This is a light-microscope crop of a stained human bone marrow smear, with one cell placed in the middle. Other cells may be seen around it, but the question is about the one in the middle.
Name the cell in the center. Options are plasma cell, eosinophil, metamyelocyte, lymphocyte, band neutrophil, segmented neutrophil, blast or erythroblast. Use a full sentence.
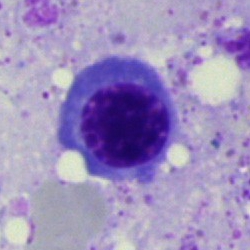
The cell at the middle of the frame should be recorded as an erythroblast.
